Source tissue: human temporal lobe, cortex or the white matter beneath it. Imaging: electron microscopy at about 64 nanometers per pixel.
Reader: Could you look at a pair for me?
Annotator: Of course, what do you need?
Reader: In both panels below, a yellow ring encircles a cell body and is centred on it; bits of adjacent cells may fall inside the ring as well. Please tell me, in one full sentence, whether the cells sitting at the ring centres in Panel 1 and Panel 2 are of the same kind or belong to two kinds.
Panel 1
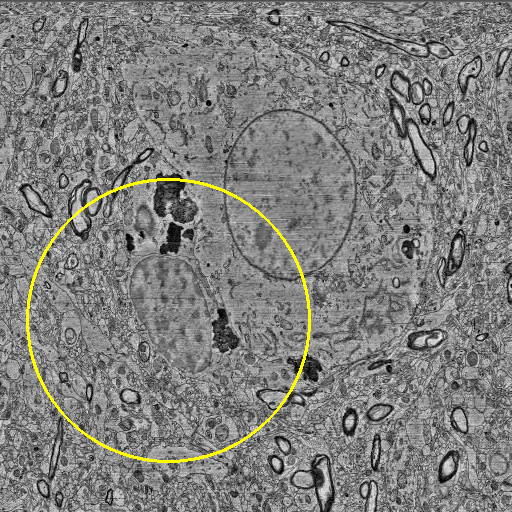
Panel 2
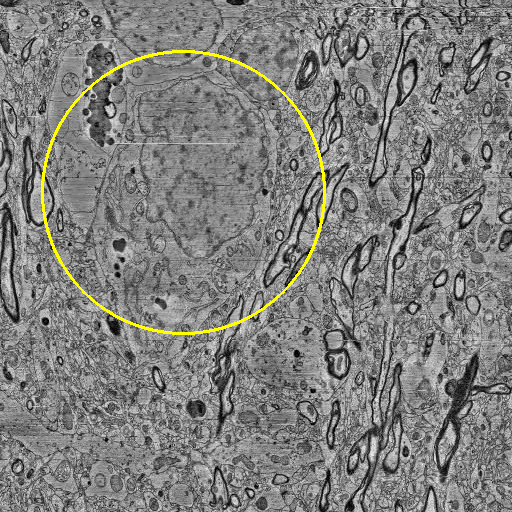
The cell at the ring's centre in Panel 1 and the one in Panel 2 belong to two kinds.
